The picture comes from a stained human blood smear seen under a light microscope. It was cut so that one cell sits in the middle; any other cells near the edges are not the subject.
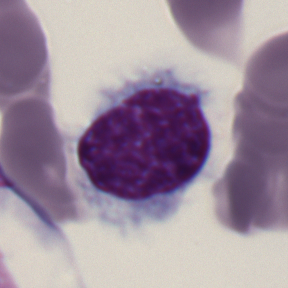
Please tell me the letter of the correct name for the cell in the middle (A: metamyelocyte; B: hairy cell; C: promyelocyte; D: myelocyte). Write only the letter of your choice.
B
